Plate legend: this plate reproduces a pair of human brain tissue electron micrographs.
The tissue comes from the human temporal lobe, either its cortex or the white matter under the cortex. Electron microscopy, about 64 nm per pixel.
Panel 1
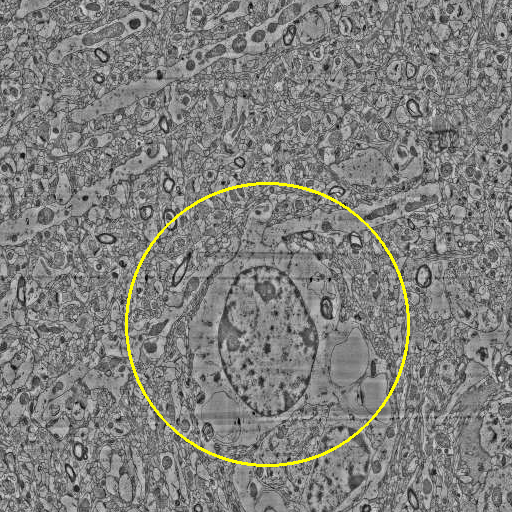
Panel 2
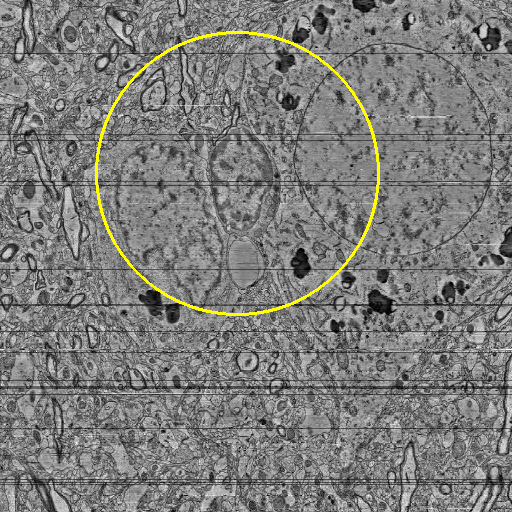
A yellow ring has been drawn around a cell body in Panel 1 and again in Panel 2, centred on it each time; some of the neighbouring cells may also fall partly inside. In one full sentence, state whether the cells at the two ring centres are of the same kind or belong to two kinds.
The ring-centred cells of Panel 1 and Panel 2 belong to two kinds.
